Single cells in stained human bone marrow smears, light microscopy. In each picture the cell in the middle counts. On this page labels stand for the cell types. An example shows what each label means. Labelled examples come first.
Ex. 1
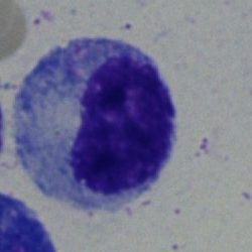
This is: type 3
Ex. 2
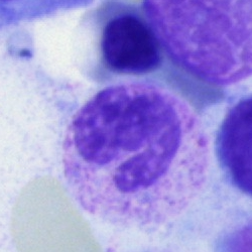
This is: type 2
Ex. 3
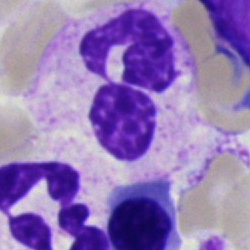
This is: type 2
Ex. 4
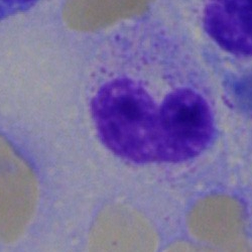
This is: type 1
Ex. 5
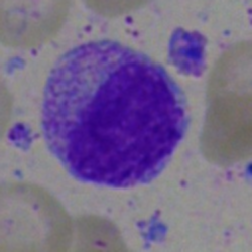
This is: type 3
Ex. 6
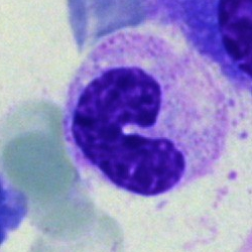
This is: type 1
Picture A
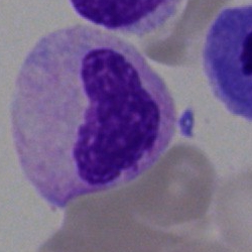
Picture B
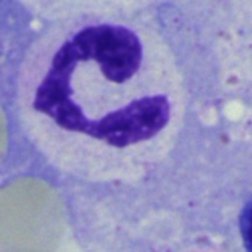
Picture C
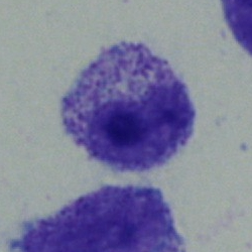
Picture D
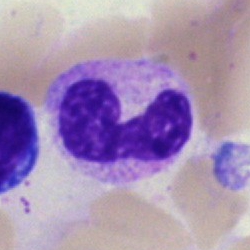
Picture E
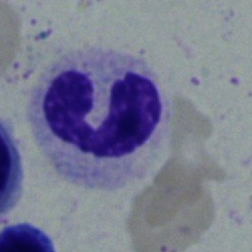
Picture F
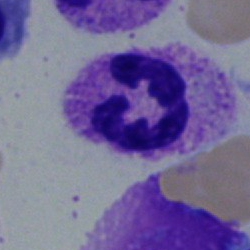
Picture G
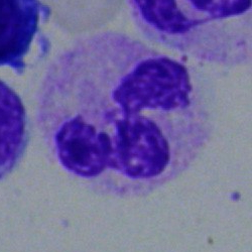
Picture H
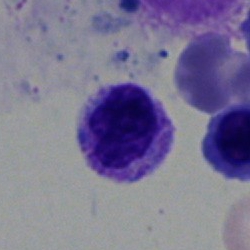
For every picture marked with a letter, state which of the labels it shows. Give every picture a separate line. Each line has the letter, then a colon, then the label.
A: type 1
B: type 2
C: type 3
D: type 1
E: type 1
F: type 2
G: type 2
H: type 3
